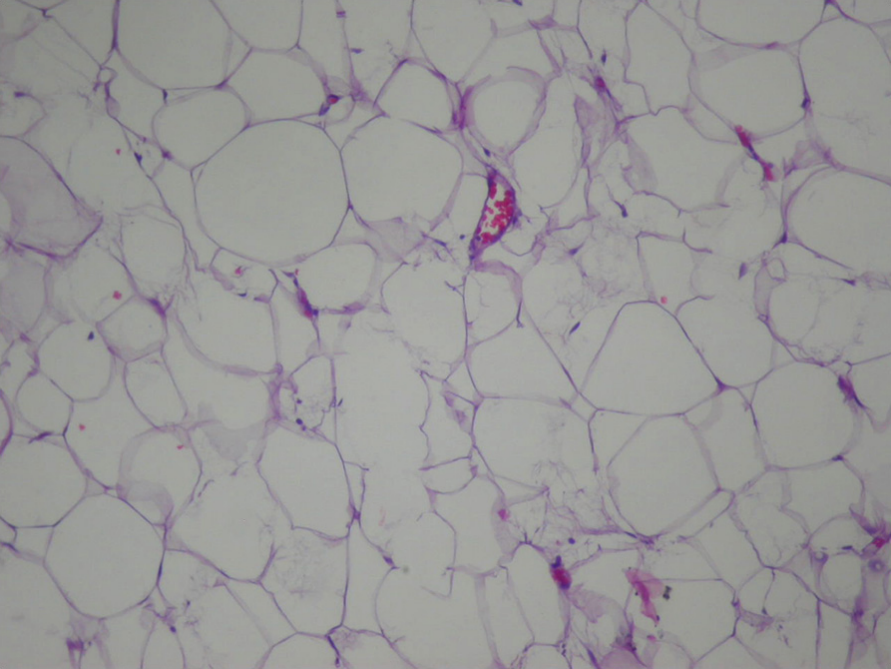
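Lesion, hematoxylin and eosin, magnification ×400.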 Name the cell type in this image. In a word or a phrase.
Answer: Mature adipocytes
